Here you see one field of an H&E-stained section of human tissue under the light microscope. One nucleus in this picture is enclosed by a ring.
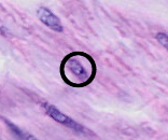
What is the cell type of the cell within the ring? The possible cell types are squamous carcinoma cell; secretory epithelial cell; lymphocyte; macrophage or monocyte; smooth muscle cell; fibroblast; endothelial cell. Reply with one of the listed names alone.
smooth muscle cell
